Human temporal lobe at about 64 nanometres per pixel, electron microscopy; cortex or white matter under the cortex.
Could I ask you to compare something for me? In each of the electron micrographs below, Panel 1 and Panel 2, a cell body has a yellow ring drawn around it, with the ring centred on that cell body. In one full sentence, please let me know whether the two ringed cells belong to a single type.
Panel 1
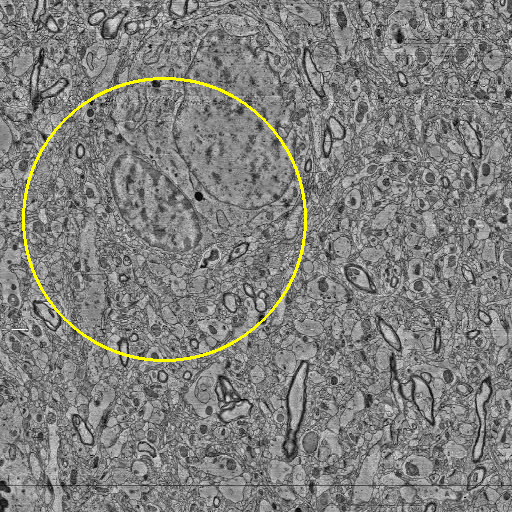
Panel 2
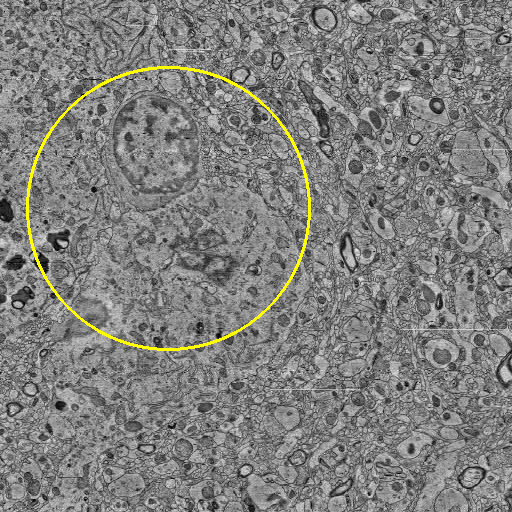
Yes, the two cells at the centres of the rings are of one type.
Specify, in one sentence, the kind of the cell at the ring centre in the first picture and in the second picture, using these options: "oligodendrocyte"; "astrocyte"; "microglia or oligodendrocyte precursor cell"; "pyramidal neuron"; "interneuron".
Each one of the two ringed cells is an oligodendrocyte.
